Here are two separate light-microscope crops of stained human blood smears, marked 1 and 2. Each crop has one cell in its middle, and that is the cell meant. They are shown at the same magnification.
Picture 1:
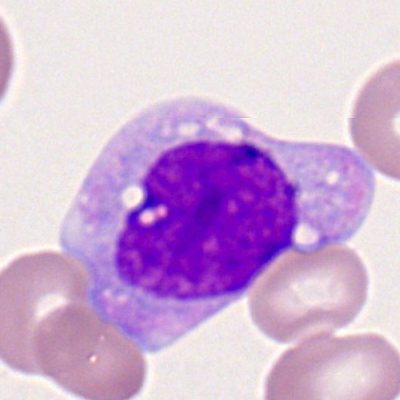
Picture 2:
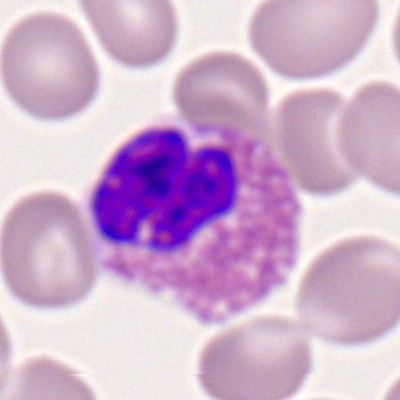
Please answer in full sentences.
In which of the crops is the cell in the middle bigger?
Larger is the cell in picture 1, at roughly 1.5 times the area of the other.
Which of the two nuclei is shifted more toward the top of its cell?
It is the nucleus in picture 2 that lies further toward the top of its cell.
